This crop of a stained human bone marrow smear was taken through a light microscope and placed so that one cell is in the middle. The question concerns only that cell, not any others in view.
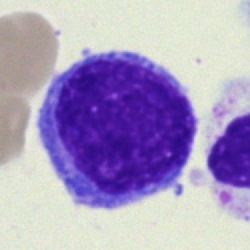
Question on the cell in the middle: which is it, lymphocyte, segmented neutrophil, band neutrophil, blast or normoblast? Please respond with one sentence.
In the middle of this smear crop is a blast.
